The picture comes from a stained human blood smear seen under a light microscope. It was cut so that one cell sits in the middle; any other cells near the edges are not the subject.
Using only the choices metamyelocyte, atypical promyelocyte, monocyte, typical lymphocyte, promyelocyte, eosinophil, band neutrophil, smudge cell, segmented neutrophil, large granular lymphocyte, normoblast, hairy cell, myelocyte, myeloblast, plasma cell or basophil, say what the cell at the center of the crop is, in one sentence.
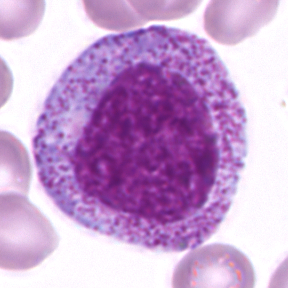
What sits at the centre of this crop is a myelocyte.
